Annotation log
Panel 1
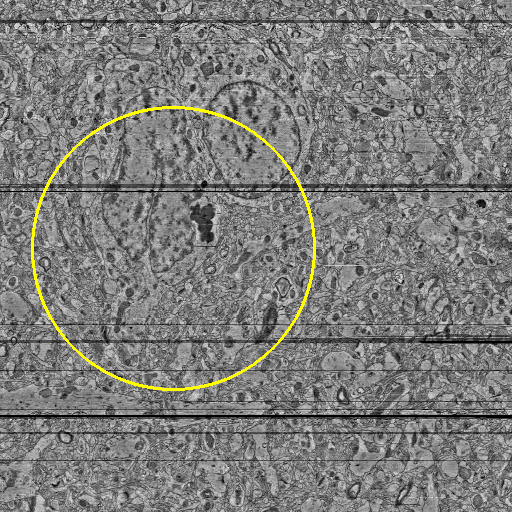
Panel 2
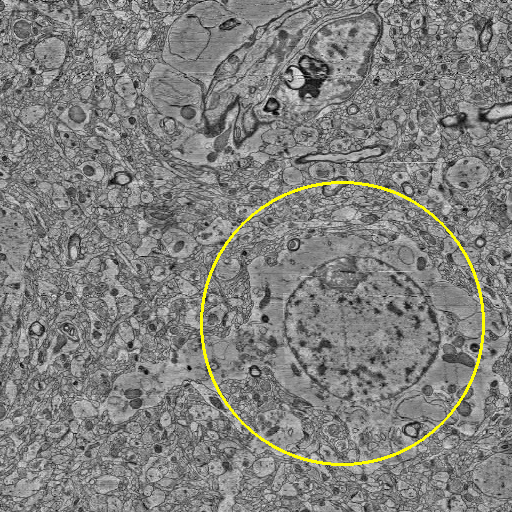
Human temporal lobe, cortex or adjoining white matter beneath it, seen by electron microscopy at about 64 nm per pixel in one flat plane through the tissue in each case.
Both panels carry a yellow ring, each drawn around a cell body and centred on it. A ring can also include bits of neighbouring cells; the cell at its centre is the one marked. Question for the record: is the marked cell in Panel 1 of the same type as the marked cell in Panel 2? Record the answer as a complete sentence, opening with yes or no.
No, the marked cells in Panel 1 and Panel 2 are of two types.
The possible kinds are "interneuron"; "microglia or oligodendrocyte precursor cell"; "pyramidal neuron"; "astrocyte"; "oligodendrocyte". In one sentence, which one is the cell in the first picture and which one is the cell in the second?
The cell ringed in the second picture is an astrocyte, whereas the one ringed in the first is an interneuron.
